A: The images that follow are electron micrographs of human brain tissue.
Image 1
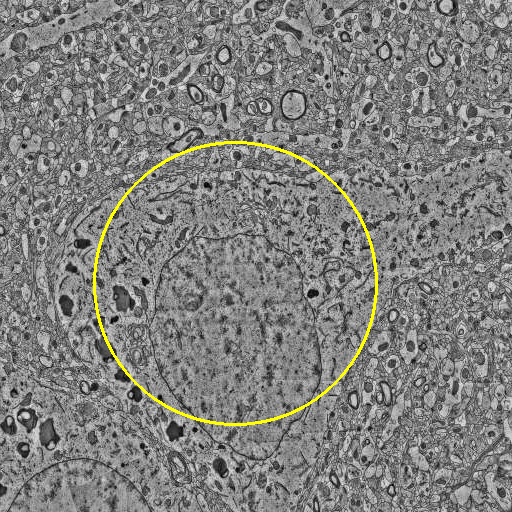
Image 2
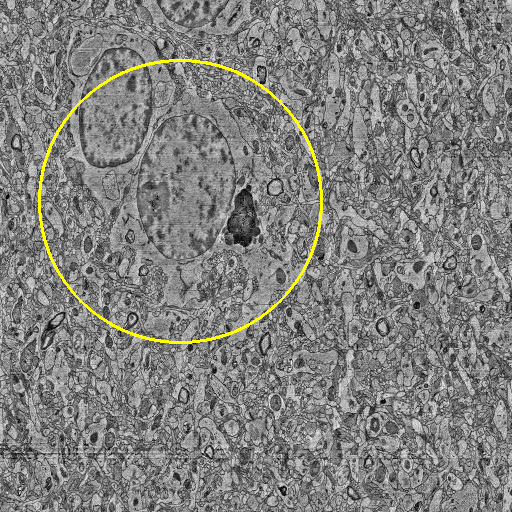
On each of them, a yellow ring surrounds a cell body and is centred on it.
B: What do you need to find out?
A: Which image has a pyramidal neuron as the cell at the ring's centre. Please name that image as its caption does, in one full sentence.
Image 1 is the one whose ring has the sought cell at its centre.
